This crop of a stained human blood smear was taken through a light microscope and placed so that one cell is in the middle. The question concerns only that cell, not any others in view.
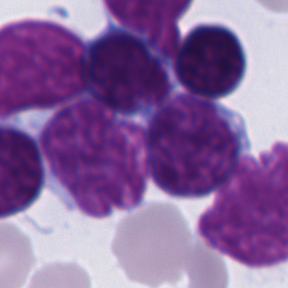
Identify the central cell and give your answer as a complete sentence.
Here the cell in the middle is a myeloblast.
